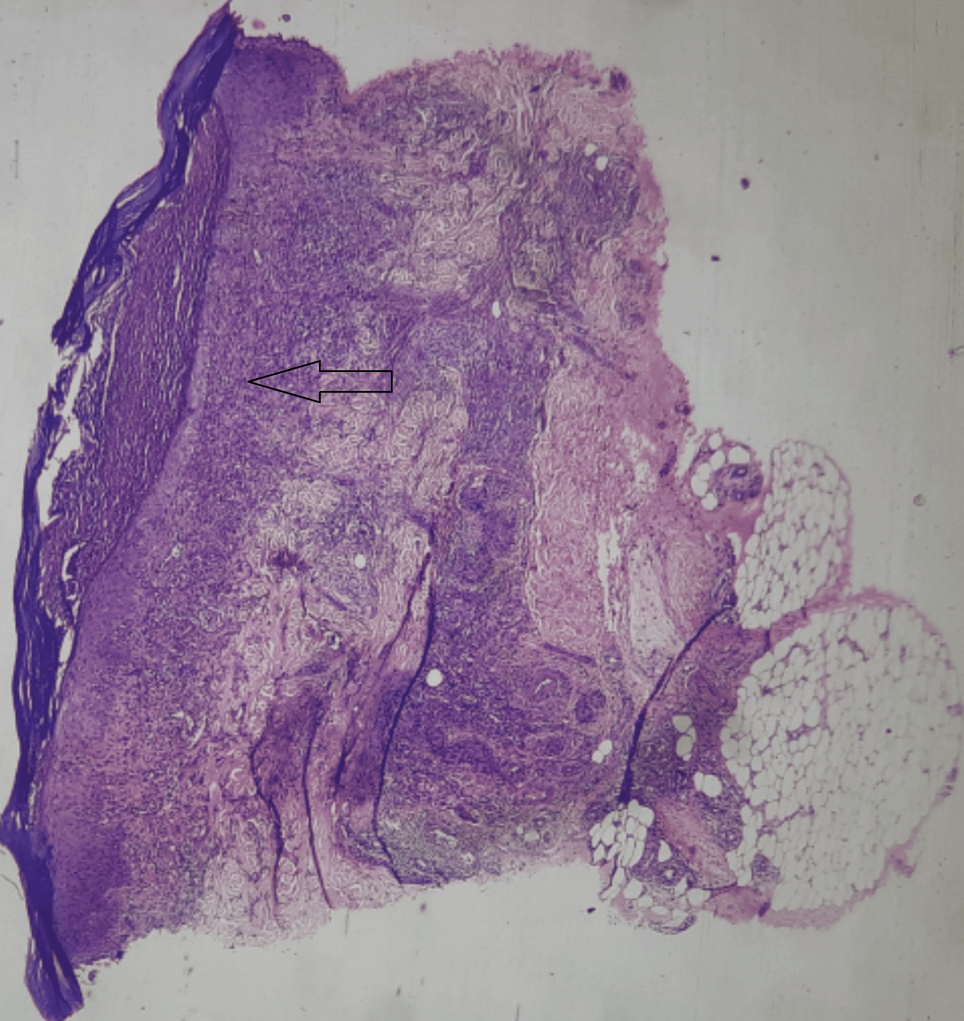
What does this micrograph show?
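This is a low-power view of a full-thickness piece of skin, running from the surface on the left, through the dermis, to the subcutaneous fat on the right. Along the left edge lies the epidermis with a dark purple, layered keratin surface that is partly lifted away from the tissue beneath. Just under it, the upper dermis is packed with a dense sheet of small, dark-staining nuclei, an inflammatory infiltrate that gives this zone a deep purple colour. Deeper in, paler pink bundles of wavy collagen alternate with further dark purple clusters of inflammatory cells. At the far right, the large empty-looking rounded spaces with thin pink walls are fat cells of the subcutis.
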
